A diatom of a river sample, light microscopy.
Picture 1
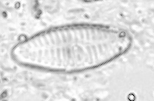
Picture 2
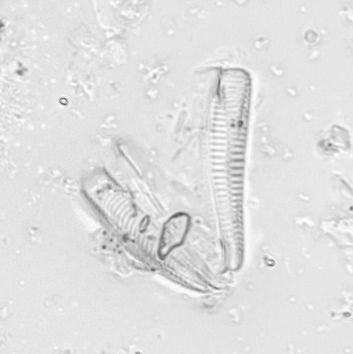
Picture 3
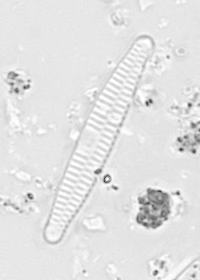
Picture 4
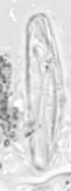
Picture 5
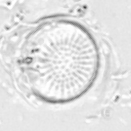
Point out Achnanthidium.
That is picture 4.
